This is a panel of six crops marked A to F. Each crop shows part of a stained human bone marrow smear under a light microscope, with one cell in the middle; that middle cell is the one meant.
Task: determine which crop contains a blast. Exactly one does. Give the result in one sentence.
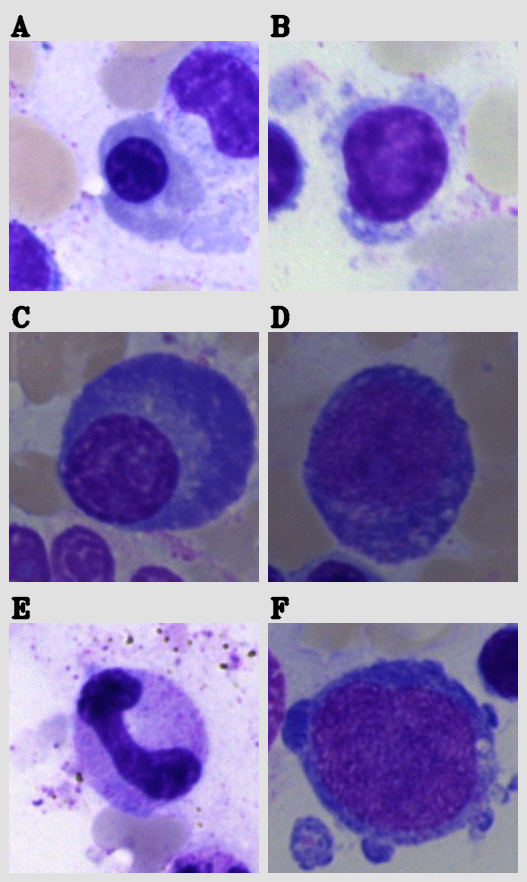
The one showing a blast is crop F.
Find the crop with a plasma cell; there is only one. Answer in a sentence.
Among all the crops given here, the one with a plasma cell is crop C.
